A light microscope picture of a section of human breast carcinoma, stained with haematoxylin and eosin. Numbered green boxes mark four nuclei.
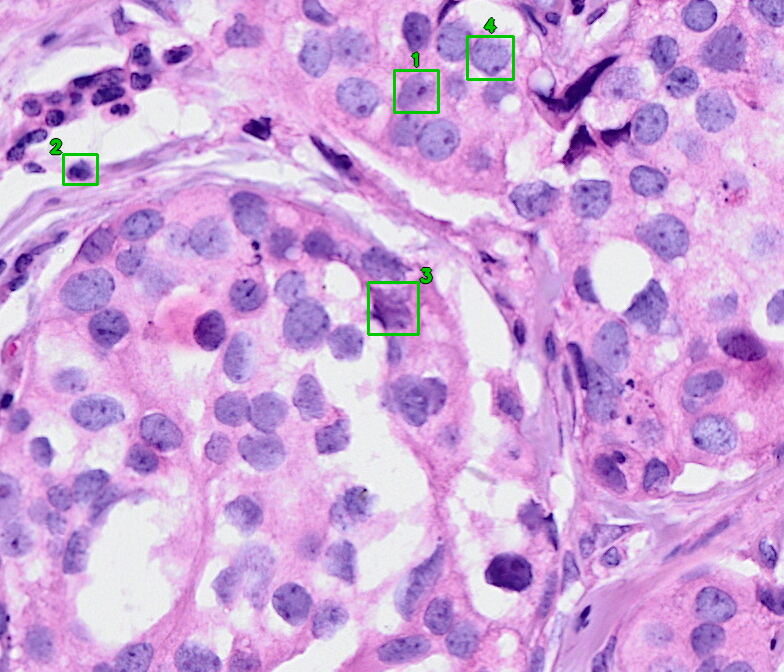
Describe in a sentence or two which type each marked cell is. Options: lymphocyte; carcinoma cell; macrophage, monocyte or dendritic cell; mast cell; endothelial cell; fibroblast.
Cells 1, 3 and 4 are carcinoma cells. Cell 2 is a lymphocyte.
